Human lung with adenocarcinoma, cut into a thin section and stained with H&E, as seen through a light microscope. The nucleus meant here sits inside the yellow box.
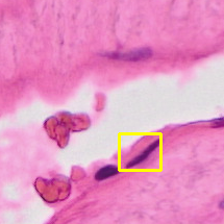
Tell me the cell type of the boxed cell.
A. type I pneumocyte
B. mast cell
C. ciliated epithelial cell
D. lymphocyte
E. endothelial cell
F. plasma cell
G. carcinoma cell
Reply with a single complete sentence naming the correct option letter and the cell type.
In this section the boxed cell is an endothelial cell; option E is therefore correct.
